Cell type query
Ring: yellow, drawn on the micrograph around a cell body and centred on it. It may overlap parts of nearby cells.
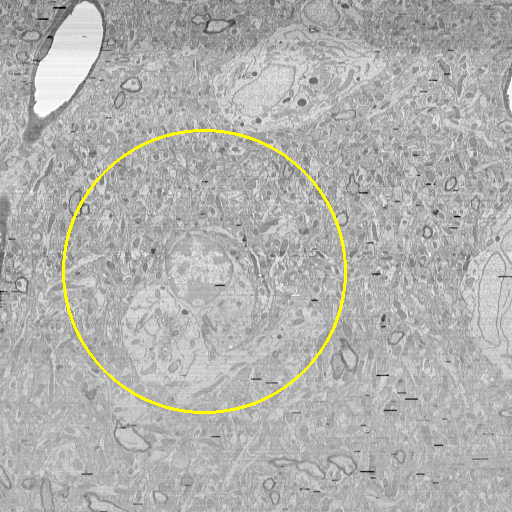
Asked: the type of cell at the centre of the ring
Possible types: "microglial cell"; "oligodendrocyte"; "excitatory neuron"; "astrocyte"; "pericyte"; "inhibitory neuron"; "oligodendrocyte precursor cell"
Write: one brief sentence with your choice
The ring marks an oligodendrocyte.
